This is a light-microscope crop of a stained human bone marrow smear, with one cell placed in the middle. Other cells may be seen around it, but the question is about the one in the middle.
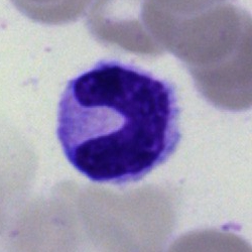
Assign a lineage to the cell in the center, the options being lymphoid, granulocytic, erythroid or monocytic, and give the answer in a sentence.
Our central cell here is part of the granulocytic lineage.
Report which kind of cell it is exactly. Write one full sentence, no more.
In the middle of this smear crop is a band neutrophil.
